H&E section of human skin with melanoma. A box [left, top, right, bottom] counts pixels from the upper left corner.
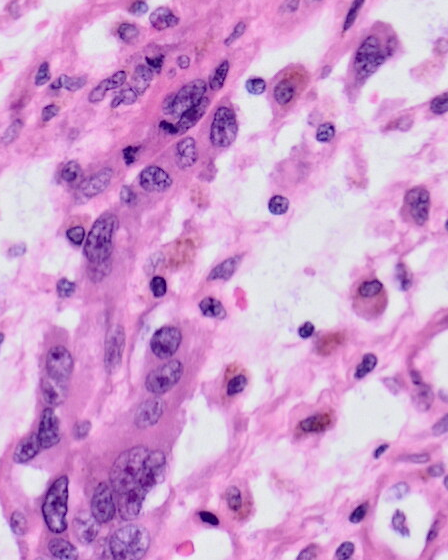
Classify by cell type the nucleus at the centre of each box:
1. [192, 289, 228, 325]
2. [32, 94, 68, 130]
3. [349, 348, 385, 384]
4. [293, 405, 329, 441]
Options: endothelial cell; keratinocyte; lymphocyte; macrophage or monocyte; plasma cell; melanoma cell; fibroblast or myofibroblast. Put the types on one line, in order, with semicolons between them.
lymphocyte; macrophage or monocyte; lymphocyte; macrophage or monocyte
